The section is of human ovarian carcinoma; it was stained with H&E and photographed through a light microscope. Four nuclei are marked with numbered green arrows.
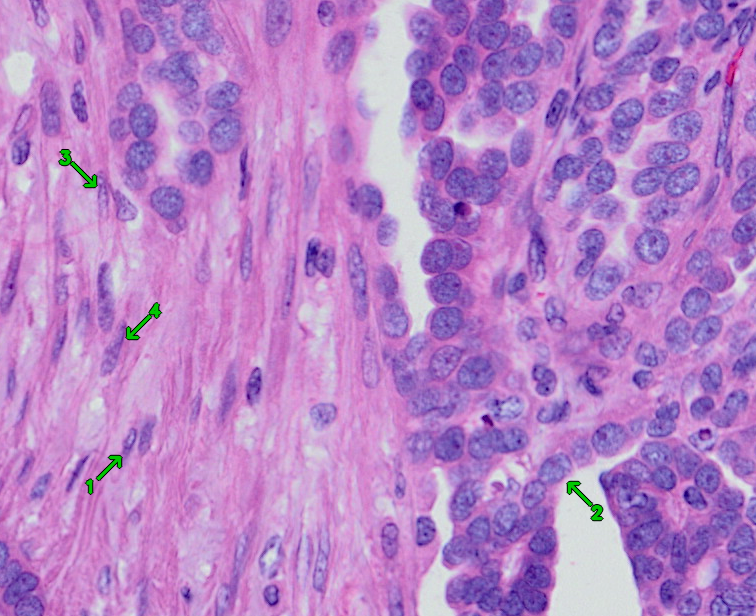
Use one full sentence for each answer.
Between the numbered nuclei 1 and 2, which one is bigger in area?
Of the two, number 2 is bigger and takes up about 2 times the area of number 1.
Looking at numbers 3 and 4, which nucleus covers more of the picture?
Of the two, number 4 is bigger and takes up about 1.5 times the area of number 3.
